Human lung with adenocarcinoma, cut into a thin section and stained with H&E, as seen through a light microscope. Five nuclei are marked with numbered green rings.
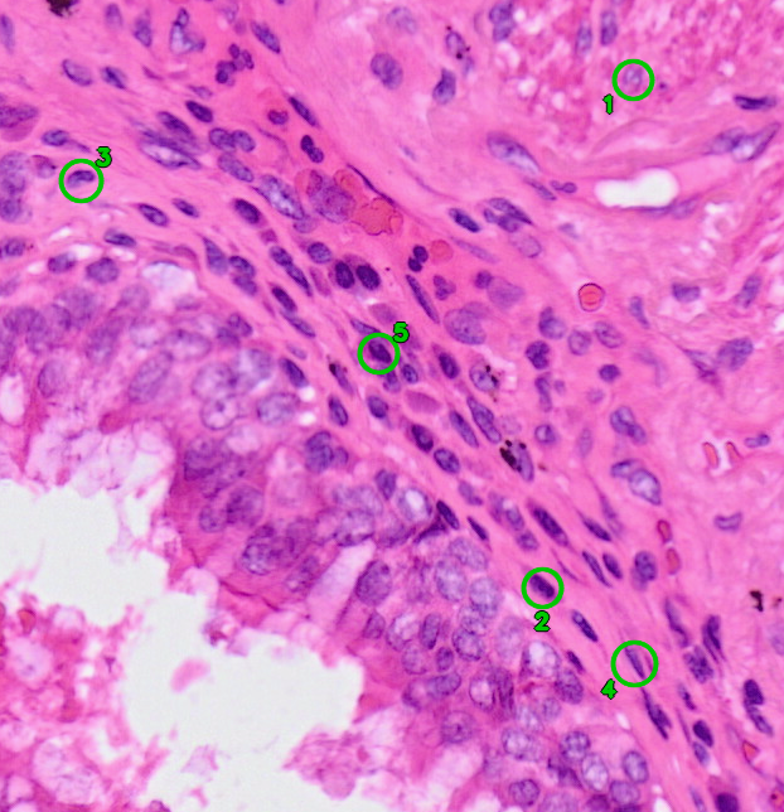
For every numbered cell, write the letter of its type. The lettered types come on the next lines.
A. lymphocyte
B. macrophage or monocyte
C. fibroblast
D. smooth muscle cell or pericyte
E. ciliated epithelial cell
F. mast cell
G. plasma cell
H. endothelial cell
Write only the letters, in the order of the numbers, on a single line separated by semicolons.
D; G; F; C; G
